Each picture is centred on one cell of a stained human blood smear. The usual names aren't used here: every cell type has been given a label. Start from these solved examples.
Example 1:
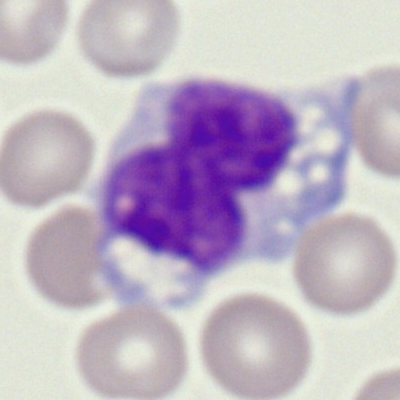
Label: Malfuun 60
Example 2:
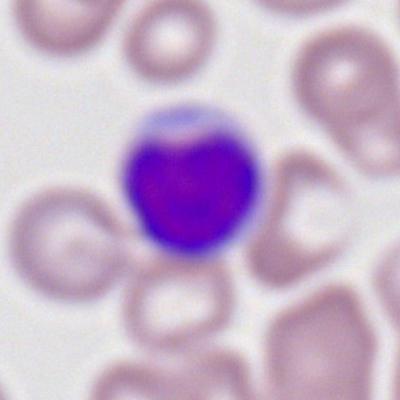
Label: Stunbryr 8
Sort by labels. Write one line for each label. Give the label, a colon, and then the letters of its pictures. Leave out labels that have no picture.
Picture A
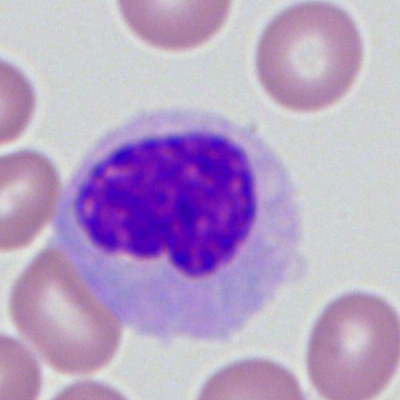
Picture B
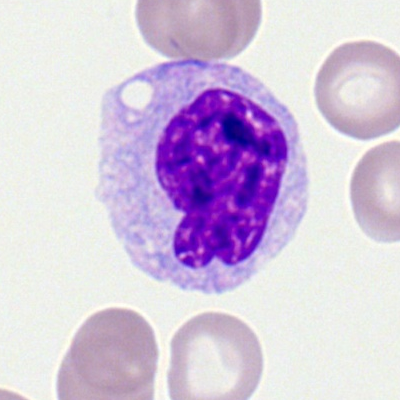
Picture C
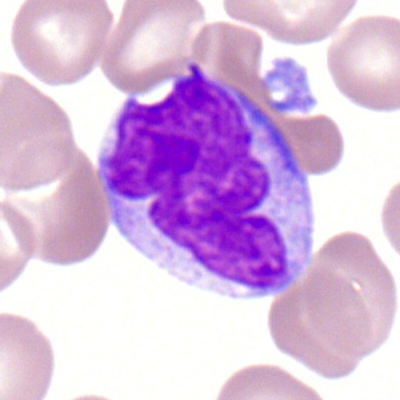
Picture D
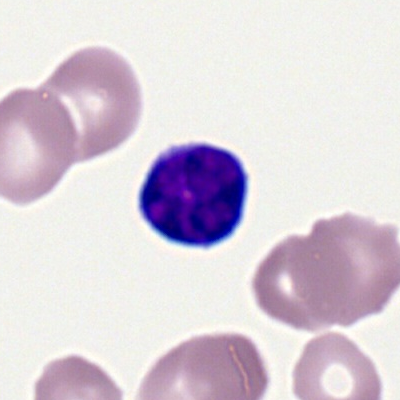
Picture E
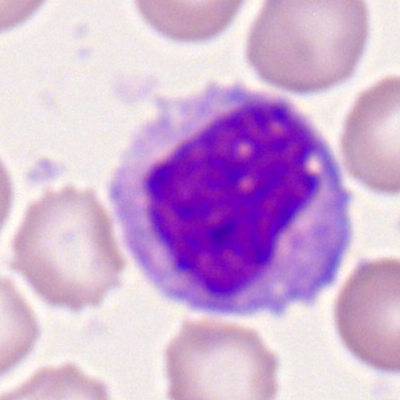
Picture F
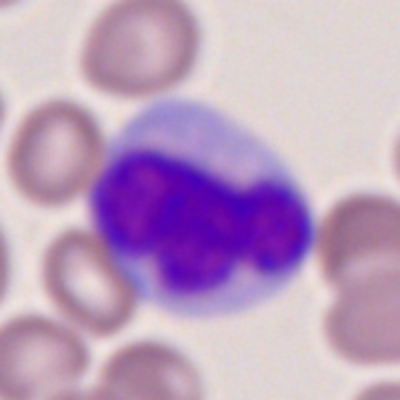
Malfuun 60: A, B, C, E, F
Stunbryr 8: D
